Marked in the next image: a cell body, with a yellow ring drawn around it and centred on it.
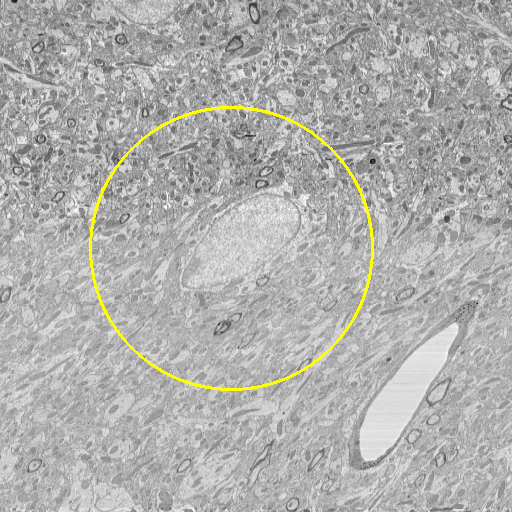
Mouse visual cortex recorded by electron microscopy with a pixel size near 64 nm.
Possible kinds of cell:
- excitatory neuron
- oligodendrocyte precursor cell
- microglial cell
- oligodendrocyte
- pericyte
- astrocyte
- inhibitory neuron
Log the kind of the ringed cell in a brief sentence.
The ringed cell body is that of an astrocyte.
